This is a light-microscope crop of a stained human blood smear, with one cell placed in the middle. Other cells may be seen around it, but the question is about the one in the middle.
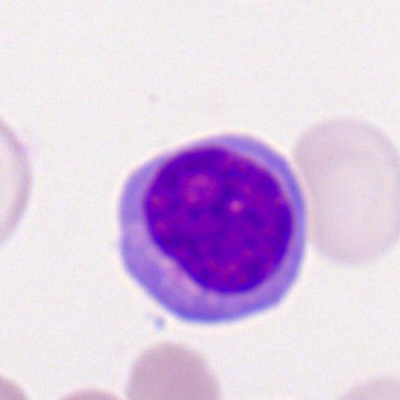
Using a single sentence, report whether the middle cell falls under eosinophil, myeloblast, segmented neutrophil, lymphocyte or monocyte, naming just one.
In the middle of this smear crop, the cell is a lymphocyte.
